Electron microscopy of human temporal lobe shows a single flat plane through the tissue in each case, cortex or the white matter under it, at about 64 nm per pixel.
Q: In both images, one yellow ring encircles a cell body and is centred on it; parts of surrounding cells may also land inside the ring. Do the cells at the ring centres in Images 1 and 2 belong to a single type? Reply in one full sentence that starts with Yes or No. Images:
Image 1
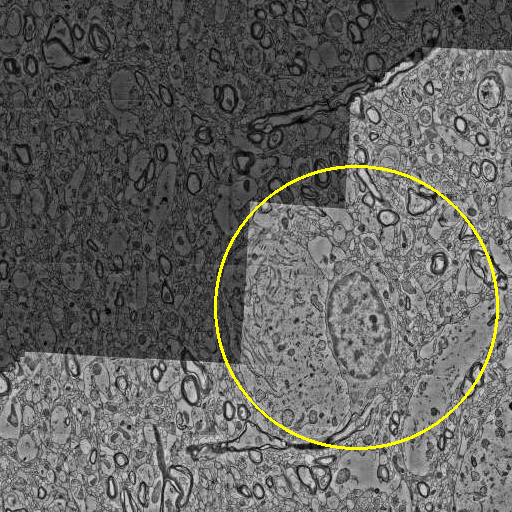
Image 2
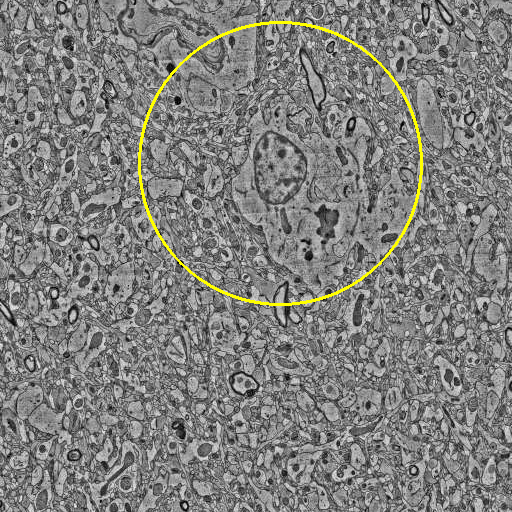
No, the cells at the ring centres in Images 1 and 2 are of two types.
